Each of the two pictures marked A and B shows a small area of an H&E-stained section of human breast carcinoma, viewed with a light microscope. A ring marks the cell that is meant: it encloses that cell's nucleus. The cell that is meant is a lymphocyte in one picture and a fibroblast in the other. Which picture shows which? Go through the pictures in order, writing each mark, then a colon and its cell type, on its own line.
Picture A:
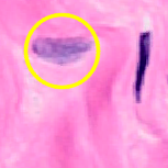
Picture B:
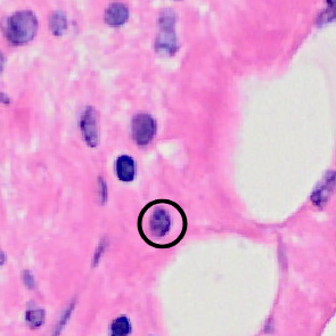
A: fibroblast
B: lymphocyte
